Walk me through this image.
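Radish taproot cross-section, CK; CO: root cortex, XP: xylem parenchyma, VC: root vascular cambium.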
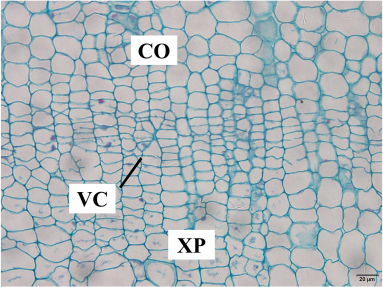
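Thin-walled plant cells with blue-green walls form a band of small, flattened, rectangular cells lined up in radial files, with larger rounded to polygonal cells above and below. The cells appear mostly empty, with clear contents and few visible nuclei.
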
